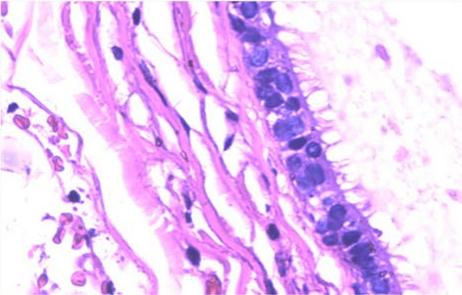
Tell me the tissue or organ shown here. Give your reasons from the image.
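Ciliated columnar epithelium. A single band of tall cells with dark purple oval nuclei runs along one edge of the tissue. The cells are taller than wide and stand side by side on pink fibrous tissue. A pale fringe lies along the free surface of the cell band.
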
